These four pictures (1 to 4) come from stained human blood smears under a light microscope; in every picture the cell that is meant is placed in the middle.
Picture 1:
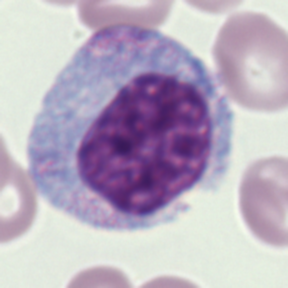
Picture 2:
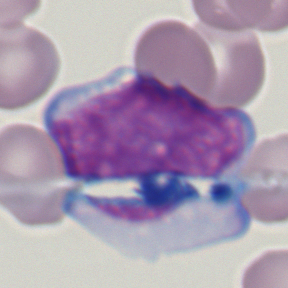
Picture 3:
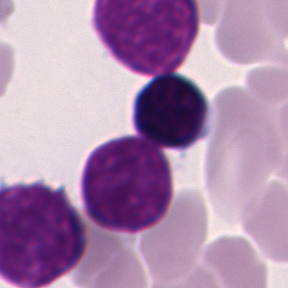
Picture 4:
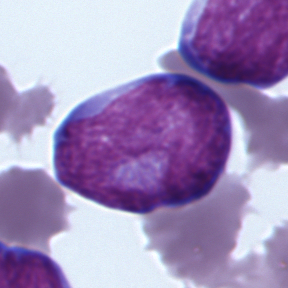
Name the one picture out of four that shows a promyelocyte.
1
